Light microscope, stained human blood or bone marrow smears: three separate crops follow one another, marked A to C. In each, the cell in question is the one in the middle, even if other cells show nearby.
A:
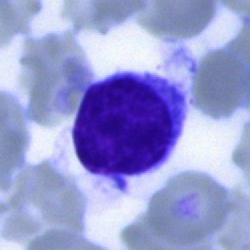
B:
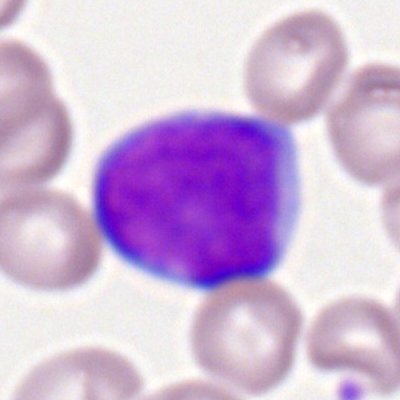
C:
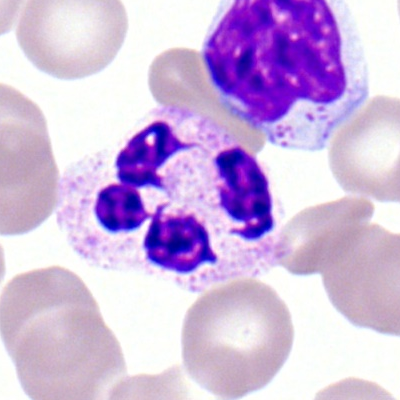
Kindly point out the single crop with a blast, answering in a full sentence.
Identified crop: B, the one that shows a blast.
